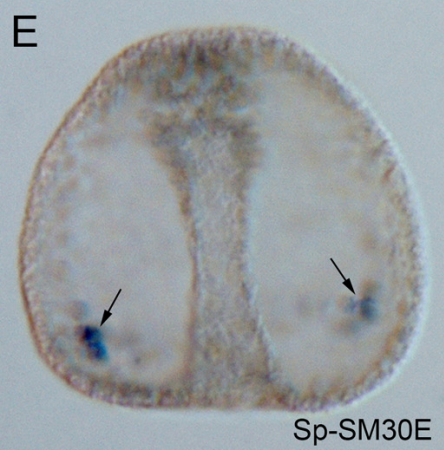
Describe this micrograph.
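A whole sea urchin embryo at late gastrula stage, with a one-cell-thick outer epithelium around a wide blastocoel and the gut tube rising from the vegetal pole into its middle. Two small clusters of dark blue-stained primary mesenchyme cells lie in the blastocoel on either side near the base of the gut, the left cluster more intensely stained.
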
